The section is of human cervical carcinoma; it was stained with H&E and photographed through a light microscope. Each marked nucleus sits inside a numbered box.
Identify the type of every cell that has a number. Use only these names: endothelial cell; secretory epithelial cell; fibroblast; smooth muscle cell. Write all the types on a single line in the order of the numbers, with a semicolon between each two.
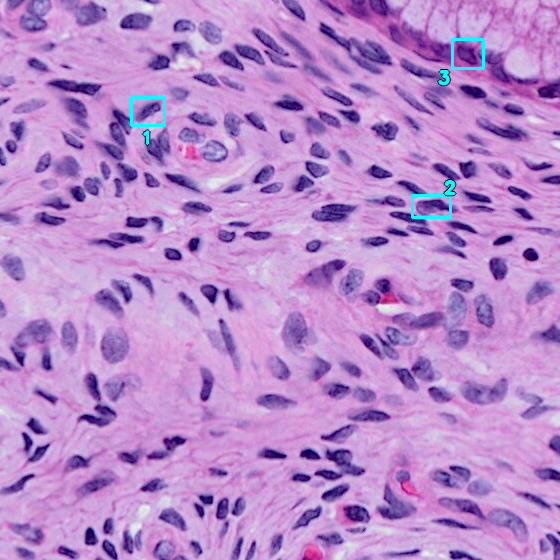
fibroblast; fibroblast; secretory epithelial cell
